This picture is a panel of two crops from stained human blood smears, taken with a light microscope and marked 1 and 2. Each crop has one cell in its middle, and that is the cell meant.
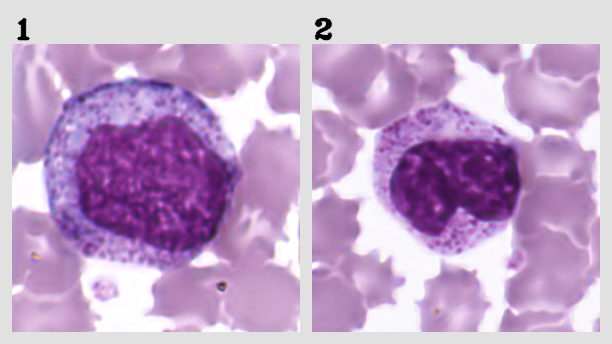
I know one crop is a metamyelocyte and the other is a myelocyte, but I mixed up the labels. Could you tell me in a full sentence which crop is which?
Crop 1 contains a myelocyte, and crop 2 contains a metamyelocyte.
